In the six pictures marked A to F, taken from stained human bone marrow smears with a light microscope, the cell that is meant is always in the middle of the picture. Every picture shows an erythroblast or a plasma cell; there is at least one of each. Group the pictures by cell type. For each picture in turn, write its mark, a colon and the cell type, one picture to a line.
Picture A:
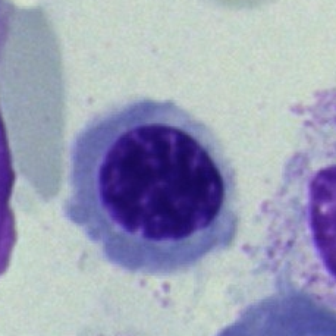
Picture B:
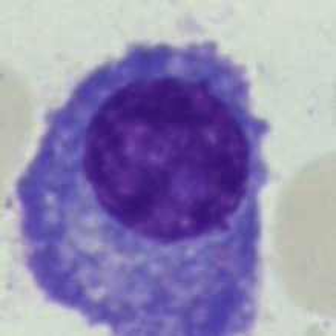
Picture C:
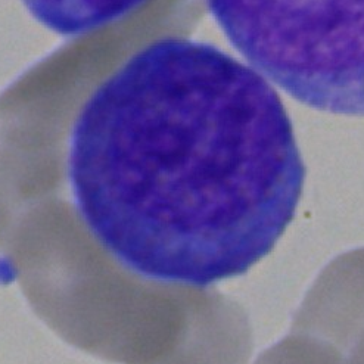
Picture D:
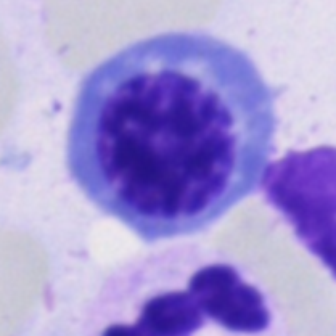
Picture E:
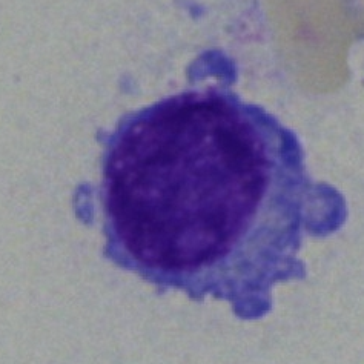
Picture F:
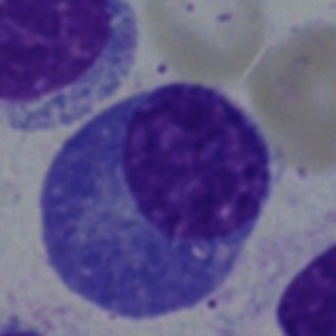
A: erythroblast
B: plasma cell
C: plasma cell
D: erythroblast
E: plasma cell
F: plasma cell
